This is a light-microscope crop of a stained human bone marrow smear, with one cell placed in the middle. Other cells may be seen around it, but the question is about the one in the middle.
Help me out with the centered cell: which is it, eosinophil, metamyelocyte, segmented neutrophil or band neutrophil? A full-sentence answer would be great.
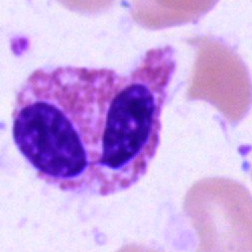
In the middle of this smear crop is an eosinophil.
